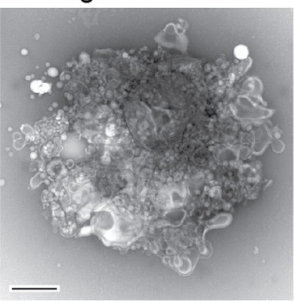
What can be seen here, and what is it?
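A negative-stained isolated Golgi complex forming a large, compact, roughly rounded mass on a grey background. It consists of densely packed flattened membrane sheets, rounded cisterna-like profiles and numerous small round vesicles, with darker stain pooled in the centre. Several bright round bodies lie at the edges. The outline of the mass is irregular but no long thin tubules extend outward from it; membranes stay close together within the cluster.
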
